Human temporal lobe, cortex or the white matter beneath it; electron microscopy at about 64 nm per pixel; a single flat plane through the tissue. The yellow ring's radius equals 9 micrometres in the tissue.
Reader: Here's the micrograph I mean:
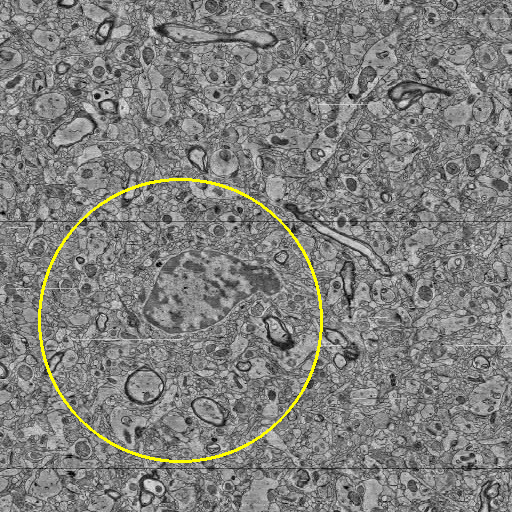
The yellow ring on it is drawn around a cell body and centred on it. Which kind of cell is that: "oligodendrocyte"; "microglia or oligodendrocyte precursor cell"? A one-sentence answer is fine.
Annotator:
The ring is centred on a microglial cell or oligodendrocyte precursor cell.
